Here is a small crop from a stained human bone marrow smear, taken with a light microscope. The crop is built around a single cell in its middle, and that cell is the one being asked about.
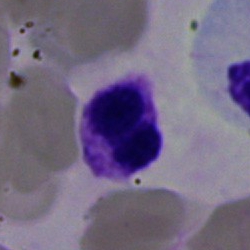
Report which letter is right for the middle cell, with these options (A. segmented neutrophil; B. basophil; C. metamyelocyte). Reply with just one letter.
B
